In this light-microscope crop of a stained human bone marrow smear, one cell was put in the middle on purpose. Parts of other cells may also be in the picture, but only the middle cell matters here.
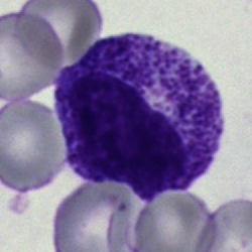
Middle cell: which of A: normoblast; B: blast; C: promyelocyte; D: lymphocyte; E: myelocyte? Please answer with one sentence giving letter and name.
The central cell in this crop is a myelocyte, corresponding to option E, the correct option.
